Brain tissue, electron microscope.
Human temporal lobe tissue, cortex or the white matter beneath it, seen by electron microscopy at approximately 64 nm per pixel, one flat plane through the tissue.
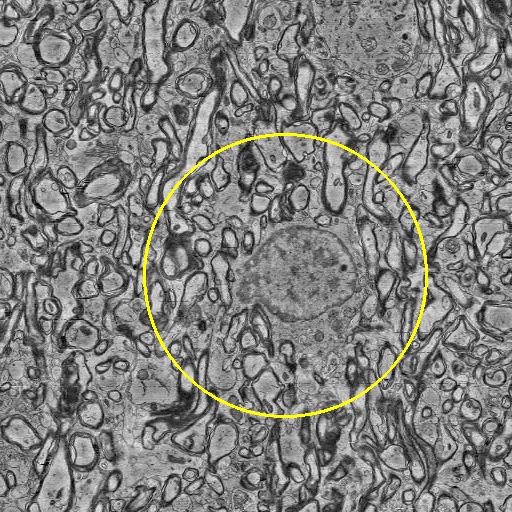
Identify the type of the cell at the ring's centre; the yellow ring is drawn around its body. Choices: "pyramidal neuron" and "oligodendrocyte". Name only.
oligodendrocyte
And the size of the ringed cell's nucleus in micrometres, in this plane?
In this plane, the nucleus is roughly 8 by 6 micrometres.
